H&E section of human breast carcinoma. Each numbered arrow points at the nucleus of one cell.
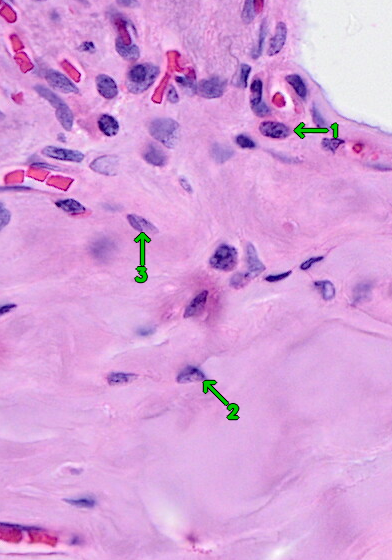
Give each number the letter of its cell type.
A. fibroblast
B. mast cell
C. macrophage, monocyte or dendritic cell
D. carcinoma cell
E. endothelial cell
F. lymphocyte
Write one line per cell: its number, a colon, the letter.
1: B
2: A
3: A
